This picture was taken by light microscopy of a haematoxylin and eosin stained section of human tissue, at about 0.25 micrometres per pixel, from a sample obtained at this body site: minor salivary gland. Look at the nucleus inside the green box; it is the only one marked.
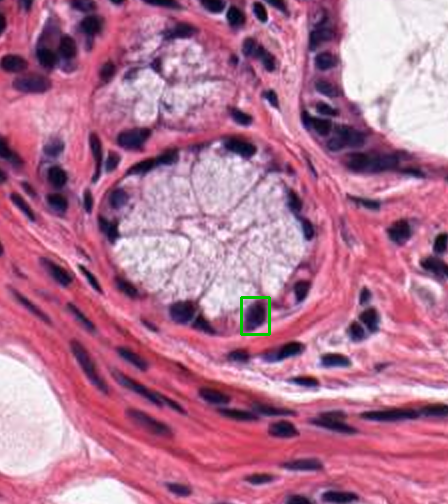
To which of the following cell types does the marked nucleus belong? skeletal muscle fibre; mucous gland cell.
mucous gland cell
